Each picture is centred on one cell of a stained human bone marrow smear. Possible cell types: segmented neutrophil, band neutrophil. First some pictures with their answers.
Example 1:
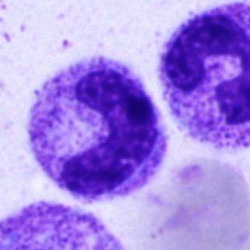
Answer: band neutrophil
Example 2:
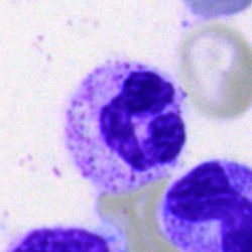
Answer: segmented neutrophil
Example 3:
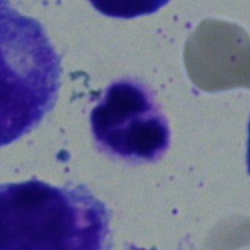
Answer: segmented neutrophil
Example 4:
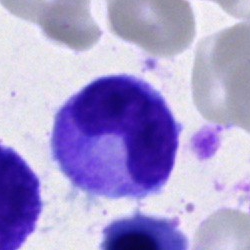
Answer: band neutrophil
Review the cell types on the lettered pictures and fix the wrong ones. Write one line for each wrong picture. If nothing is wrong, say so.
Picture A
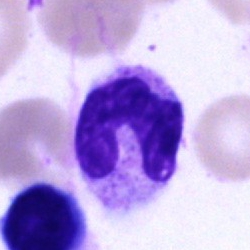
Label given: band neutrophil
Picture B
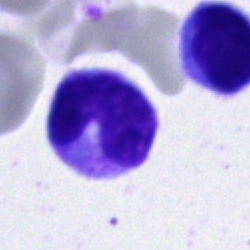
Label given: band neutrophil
All correct.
